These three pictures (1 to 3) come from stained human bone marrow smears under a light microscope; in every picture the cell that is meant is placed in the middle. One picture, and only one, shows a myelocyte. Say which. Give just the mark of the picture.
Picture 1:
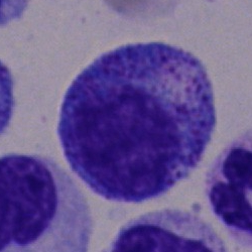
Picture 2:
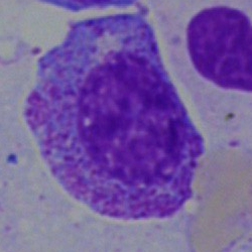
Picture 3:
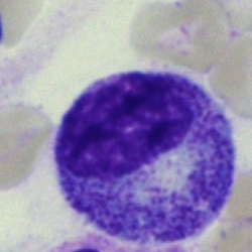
2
